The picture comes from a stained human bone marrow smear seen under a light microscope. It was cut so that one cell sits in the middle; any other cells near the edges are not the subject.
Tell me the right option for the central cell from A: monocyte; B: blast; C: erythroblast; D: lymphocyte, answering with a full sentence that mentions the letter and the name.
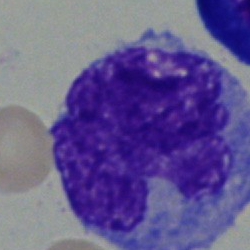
Option A is right in identifying the central cell as a monocyte.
